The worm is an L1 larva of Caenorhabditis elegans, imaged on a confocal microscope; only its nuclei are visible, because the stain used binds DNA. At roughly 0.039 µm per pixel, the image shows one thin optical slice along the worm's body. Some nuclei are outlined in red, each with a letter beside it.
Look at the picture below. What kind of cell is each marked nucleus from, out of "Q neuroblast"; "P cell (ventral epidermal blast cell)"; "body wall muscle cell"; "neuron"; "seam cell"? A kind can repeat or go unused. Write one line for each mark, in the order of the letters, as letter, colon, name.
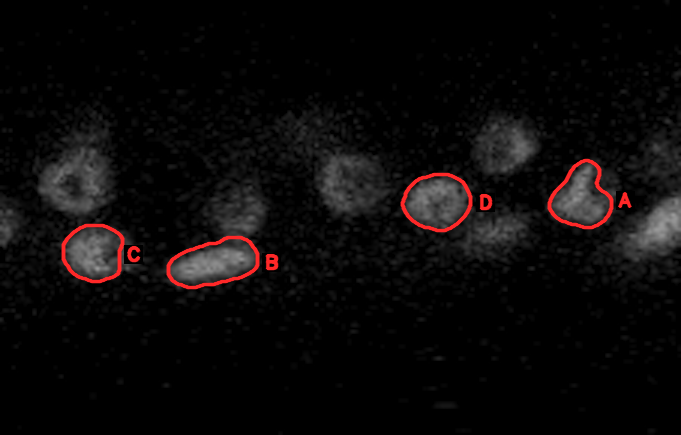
A: seam cell
B: body wall muscle cell
C: P cell (ventral epidermal blast cell)
D: Q neuroblast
